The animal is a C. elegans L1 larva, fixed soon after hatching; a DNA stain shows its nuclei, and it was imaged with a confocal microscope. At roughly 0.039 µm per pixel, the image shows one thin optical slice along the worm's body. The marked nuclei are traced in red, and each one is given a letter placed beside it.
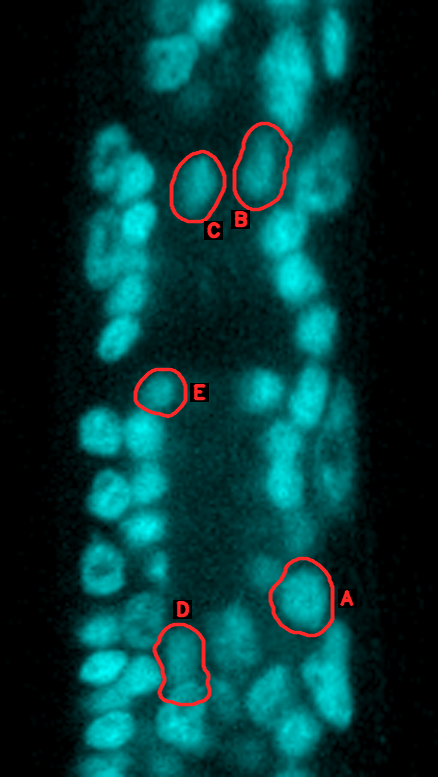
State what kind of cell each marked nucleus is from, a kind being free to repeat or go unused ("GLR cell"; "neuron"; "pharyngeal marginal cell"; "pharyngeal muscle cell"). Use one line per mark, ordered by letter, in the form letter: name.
A: neuron
B: neuron
C: neuron
D: pharyngeal marginal cell
E: GLR cell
